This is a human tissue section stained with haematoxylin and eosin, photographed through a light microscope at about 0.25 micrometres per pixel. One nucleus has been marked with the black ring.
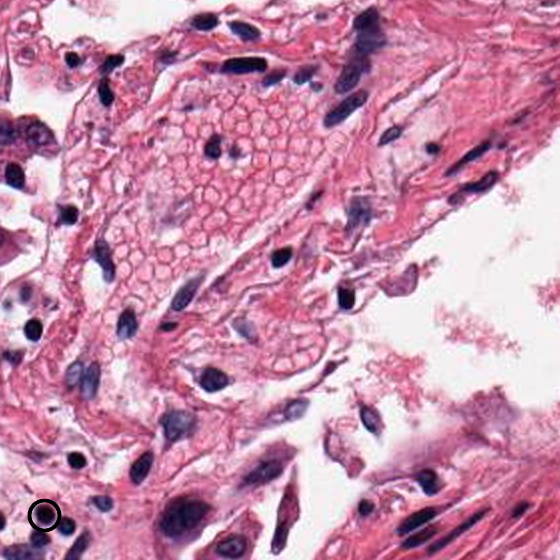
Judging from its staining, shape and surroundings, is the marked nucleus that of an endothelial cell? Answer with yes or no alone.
no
